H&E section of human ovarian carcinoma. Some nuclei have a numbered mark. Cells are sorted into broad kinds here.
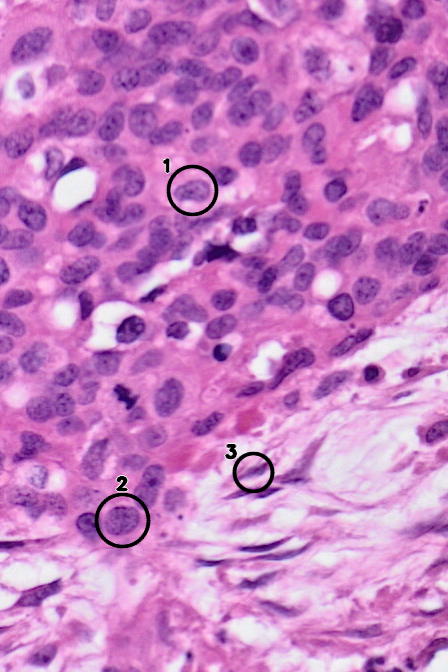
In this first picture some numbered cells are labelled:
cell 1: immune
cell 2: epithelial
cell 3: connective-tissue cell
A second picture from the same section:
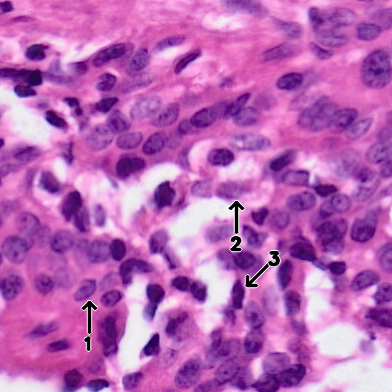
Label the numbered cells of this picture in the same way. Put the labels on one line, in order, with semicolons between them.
immune; epithelial; epithelial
